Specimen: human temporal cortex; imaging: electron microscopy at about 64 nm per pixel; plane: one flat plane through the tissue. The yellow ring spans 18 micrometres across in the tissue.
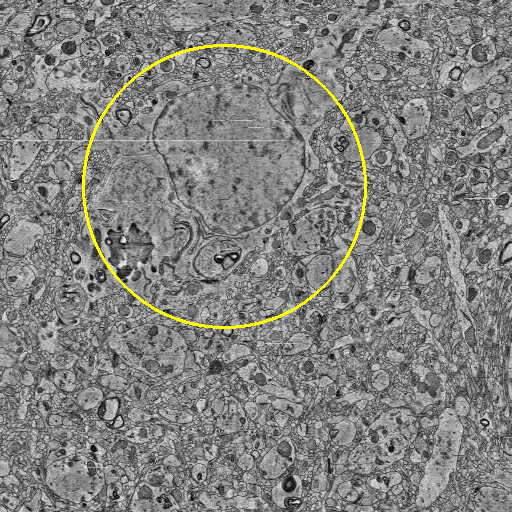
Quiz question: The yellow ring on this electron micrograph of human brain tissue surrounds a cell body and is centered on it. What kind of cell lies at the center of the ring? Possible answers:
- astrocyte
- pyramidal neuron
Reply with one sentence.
The ring's center lies on an astrocyte.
